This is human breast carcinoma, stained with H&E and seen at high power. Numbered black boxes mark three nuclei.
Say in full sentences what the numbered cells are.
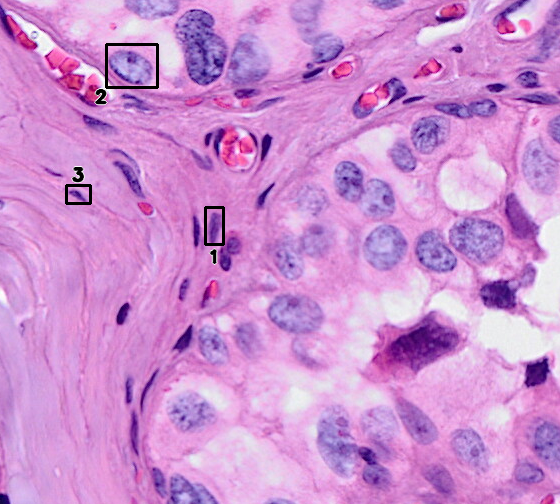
Cells 1 and 3 are fibroblasts. Cell 2 is a carcinoma cell.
